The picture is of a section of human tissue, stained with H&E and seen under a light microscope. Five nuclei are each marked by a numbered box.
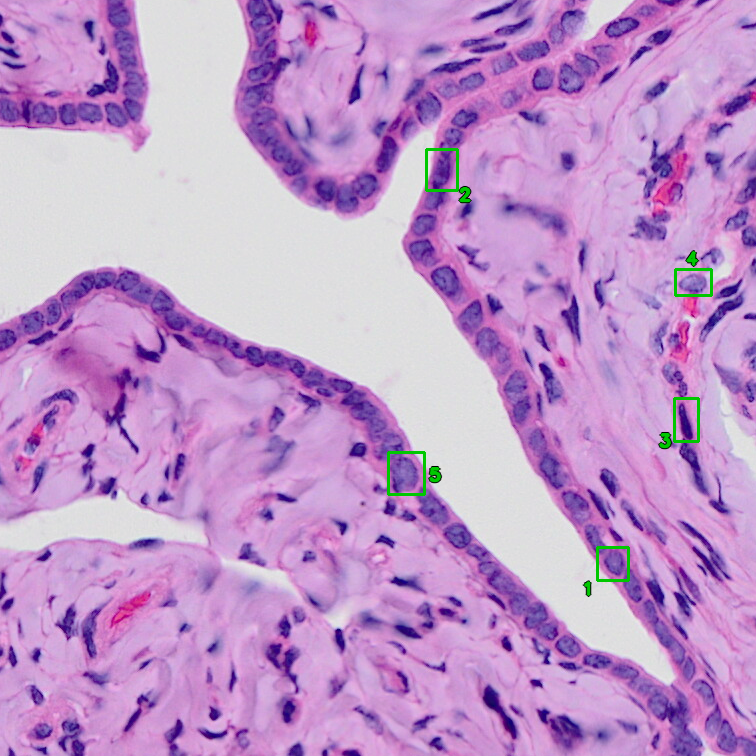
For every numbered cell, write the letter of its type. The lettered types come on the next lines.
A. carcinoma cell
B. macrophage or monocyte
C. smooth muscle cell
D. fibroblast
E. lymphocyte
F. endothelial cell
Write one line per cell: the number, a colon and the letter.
1: A
2: A
3: F
4: F
5: A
